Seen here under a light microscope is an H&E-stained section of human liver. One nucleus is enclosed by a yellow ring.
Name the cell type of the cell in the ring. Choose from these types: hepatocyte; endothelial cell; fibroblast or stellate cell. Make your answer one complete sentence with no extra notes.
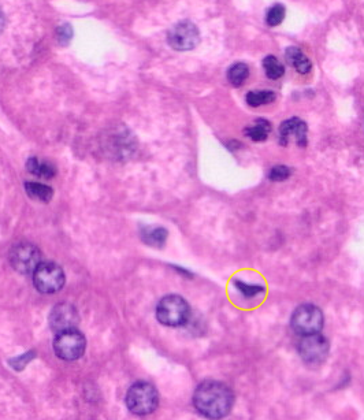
Typologically, the cell in the ring is an endothelial cell in this section.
